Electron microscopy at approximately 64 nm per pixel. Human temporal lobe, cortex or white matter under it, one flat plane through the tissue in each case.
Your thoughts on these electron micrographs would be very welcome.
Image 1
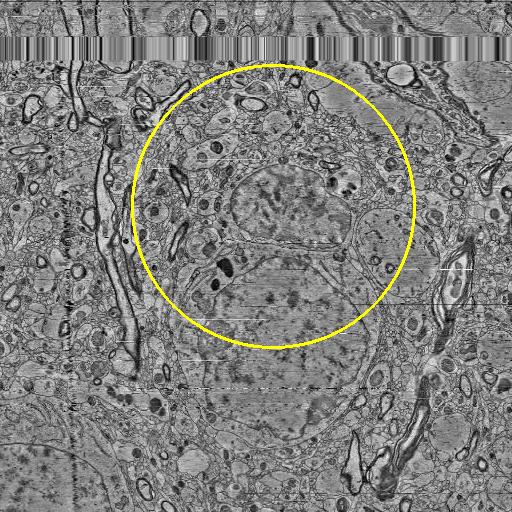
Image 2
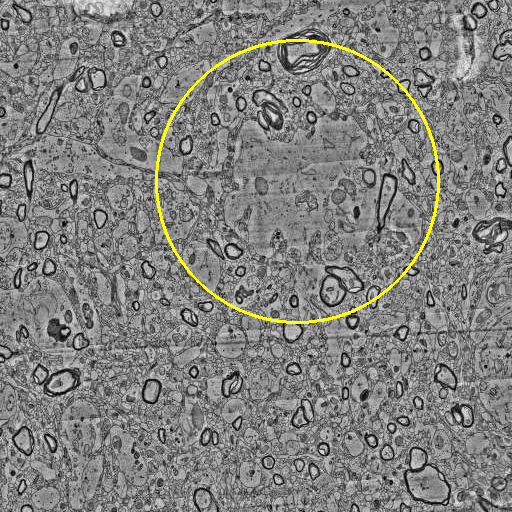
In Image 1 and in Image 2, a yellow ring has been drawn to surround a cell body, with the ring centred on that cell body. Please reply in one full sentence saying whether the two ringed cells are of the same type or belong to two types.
The ringed cells in Image 1 and Image 2 belong to two types.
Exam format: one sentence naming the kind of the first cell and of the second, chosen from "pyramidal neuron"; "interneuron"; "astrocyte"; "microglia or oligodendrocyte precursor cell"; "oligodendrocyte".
The first picture's cell is an oligodendrocyte, and the second picture's cell is an astrocyte.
